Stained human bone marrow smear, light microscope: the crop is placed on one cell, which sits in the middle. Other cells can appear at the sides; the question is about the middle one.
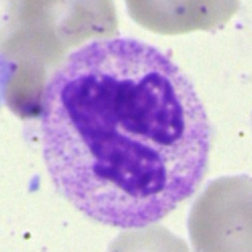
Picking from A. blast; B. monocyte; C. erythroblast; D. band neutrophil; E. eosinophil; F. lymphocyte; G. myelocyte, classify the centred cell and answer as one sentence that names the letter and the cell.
Option D is the correct selection, for the cell at the centre is a band neutrophil.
